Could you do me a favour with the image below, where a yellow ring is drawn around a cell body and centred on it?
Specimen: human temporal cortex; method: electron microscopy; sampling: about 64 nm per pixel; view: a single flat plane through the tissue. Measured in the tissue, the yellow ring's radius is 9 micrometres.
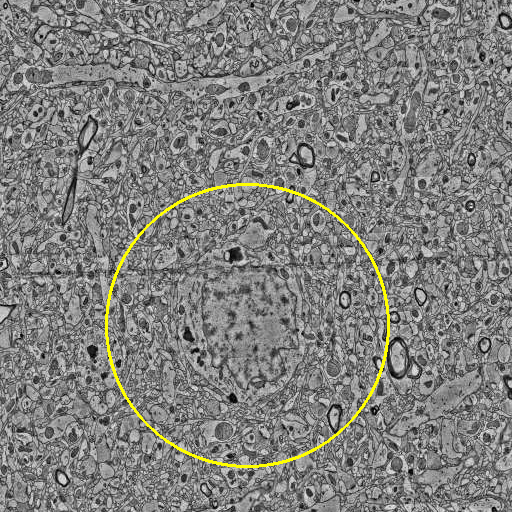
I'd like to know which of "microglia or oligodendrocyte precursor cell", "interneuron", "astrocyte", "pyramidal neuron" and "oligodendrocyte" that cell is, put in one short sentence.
The cell at the ring's centre is an interneuron.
